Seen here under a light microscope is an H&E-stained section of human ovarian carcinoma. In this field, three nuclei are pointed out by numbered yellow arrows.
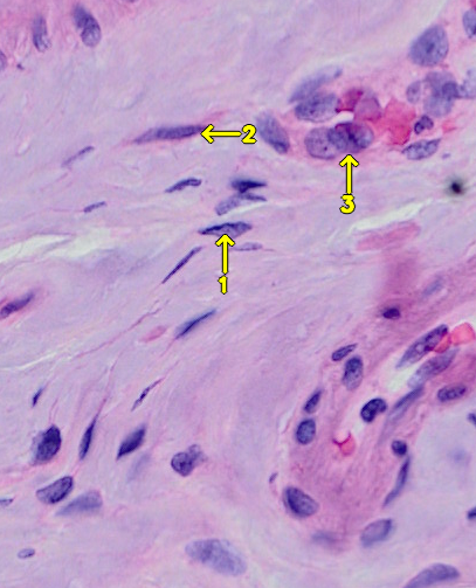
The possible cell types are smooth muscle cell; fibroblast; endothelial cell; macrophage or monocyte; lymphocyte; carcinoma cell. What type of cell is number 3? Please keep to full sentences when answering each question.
The cell to which the number 3 is assigned is an endothelial cell.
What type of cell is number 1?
The mark numbered 1 indicates the nucleus of a fibroblast.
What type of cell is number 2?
The cell pointed out by number 2 is a smooth muscle cell.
